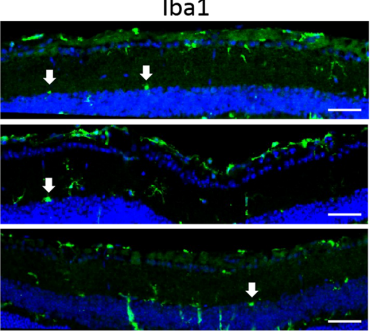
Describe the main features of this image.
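Inner retina with green microglia scattered through the innermost layers above a dense blue band of nuclei. Some microglia are small and rounded with few short processes, while others extend long thin branches, some running vertically toward the nuclear band.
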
